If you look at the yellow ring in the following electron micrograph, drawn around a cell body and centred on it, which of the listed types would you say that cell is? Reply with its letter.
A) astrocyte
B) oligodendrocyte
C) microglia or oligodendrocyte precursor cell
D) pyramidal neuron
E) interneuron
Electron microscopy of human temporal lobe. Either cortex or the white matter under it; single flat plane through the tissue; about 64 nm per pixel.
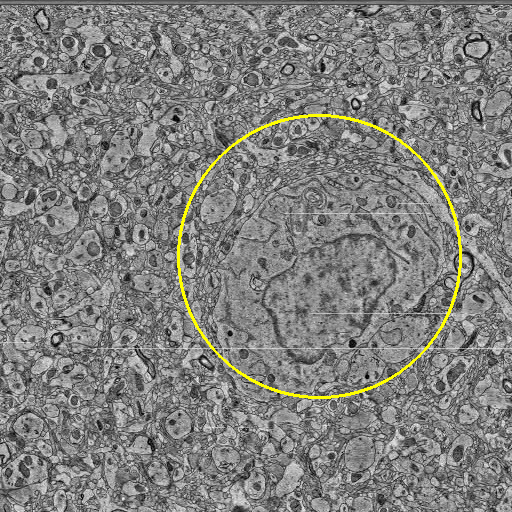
E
